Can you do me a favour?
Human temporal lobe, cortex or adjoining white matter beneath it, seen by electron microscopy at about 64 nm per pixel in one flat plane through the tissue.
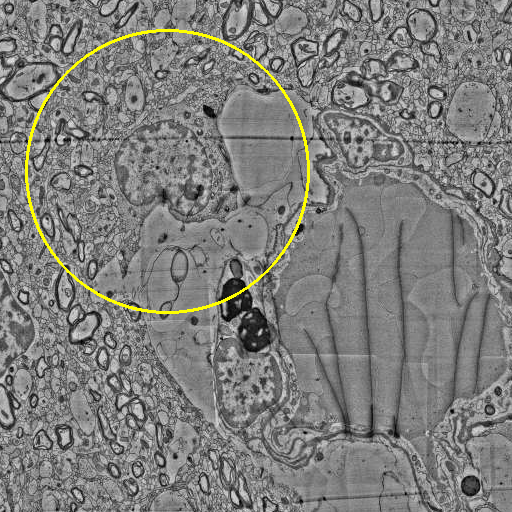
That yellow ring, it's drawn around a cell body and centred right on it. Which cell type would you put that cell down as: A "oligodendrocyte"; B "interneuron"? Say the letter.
A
